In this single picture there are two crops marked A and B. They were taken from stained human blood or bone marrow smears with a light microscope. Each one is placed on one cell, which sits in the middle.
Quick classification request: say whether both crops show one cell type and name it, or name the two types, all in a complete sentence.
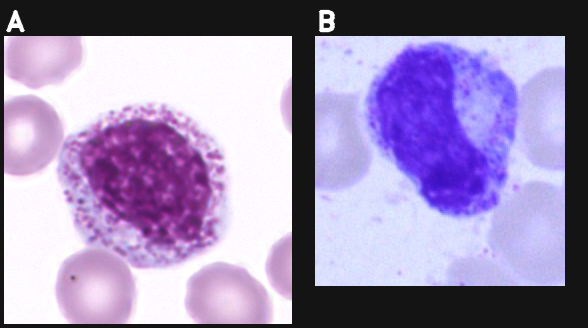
Yes, both the first crop and the second crop show metamyelocytes.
